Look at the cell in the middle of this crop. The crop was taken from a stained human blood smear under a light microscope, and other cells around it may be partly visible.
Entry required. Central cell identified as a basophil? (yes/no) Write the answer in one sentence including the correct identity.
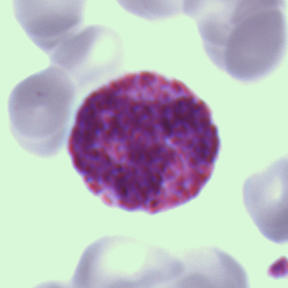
Yes, the cell in the exact middle is a basophil.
